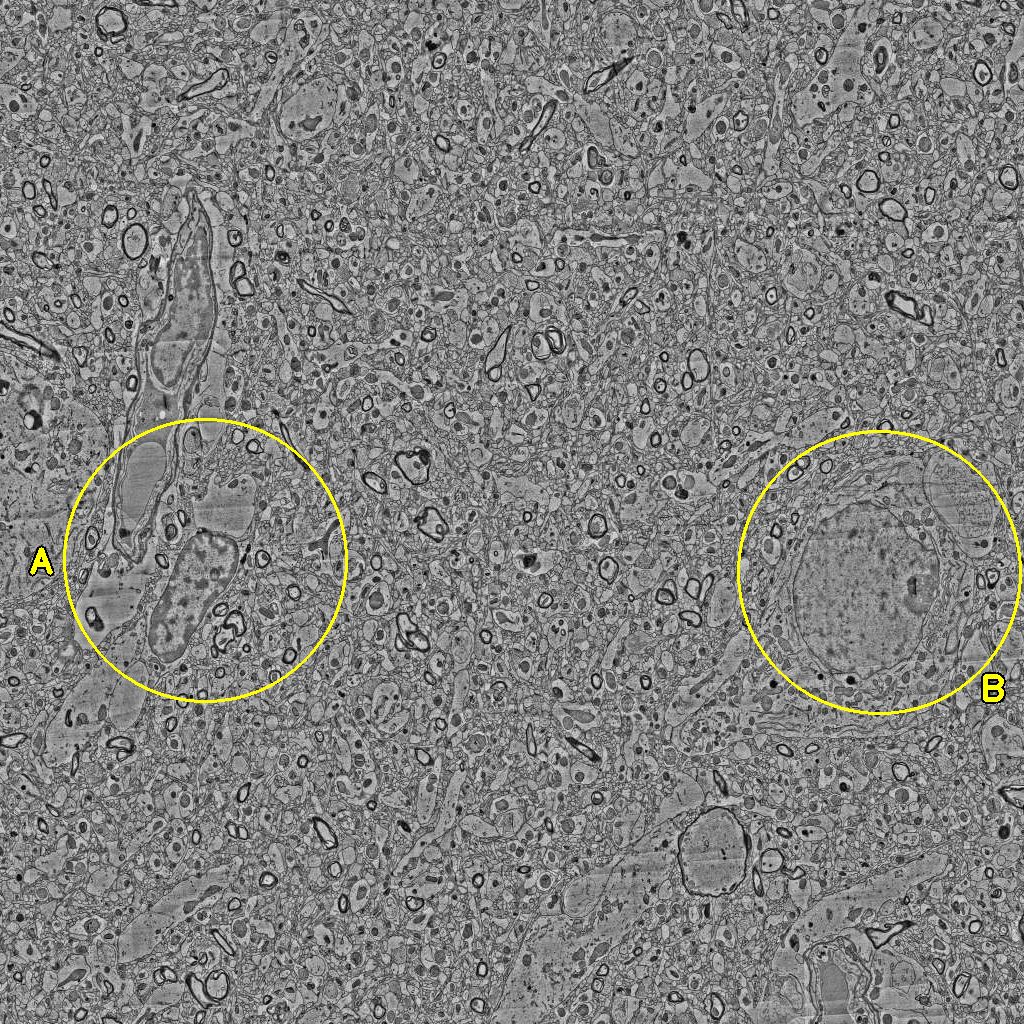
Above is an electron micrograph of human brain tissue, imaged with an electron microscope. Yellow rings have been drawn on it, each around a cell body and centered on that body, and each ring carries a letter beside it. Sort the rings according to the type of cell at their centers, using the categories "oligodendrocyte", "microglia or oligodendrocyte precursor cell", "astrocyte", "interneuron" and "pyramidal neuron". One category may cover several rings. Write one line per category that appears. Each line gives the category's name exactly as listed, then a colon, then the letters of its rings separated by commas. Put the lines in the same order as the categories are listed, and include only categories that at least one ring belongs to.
microglia or oligodendrocyte precursor cell: A
interneuron: B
